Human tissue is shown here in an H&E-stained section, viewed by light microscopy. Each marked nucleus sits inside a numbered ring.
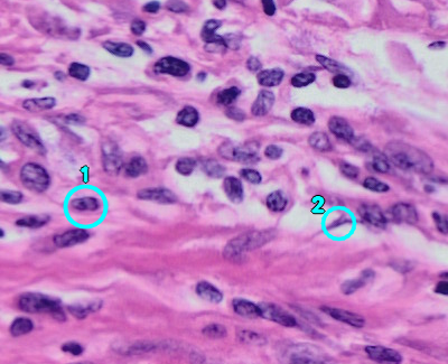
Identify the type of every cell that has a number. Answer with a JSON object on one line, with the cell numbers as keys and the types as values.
{"1": "lymphocyte", "2": "fibroblast or myofibroblast"}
